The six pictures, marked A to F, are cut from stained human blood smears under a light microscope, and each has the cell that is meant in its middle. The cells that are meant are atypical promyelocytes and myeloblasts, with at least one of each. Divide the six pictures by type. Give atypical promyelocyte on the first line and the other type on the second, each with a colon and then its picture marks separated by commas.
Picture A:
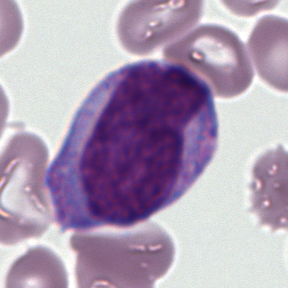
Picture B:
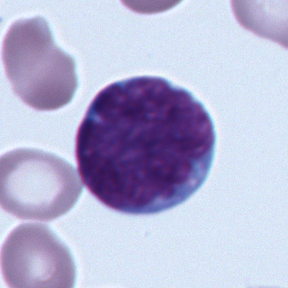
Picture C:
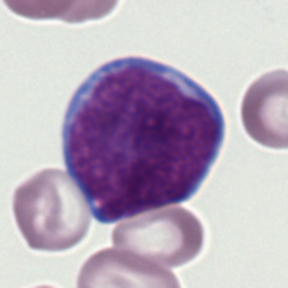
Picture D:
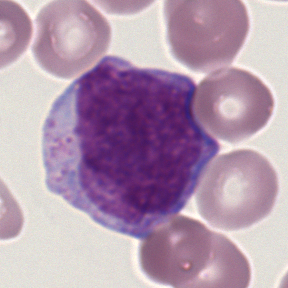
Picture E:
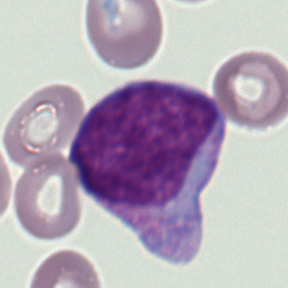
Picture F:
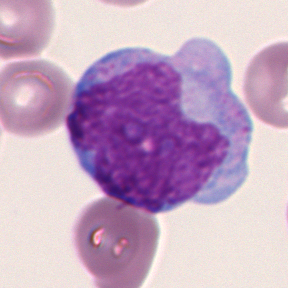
atypical promyelocyte: A, D, E, F
myeloblast: B, C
